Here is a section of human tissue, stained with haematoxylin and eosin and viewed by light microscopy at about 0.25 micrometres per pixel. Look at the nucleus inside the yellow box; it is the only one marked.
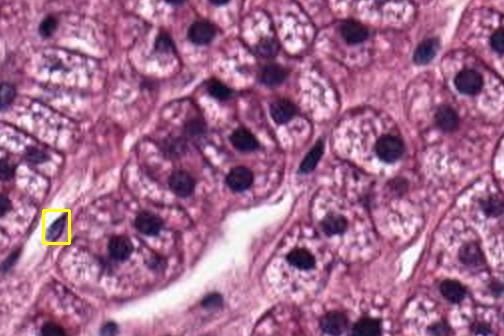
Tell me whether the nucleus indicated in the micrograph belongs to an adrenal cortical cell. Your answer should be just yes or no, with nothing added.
no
